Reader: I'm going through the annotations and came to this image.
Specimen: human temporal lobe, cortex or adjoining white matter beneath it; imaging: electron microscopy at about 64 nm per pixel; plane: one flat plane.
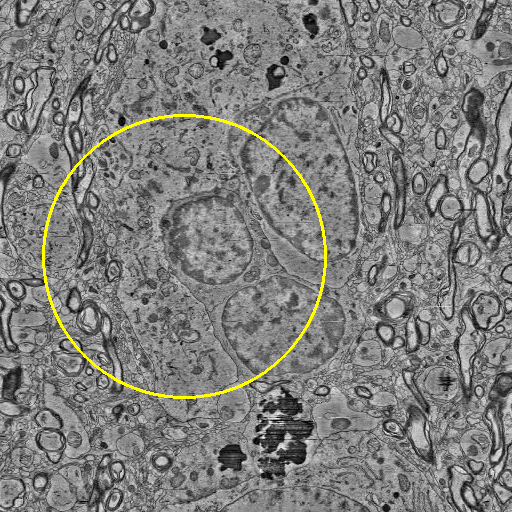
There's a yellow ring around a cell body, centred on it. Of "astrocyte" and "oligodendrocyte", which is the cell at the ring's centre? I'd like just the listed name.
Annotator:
oligodendrocyte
